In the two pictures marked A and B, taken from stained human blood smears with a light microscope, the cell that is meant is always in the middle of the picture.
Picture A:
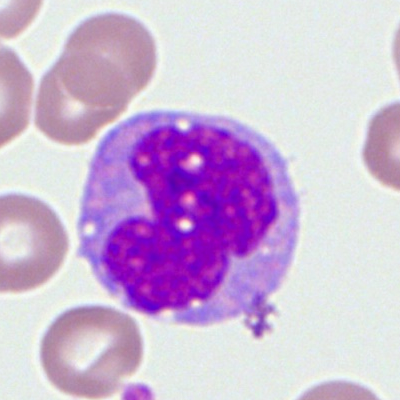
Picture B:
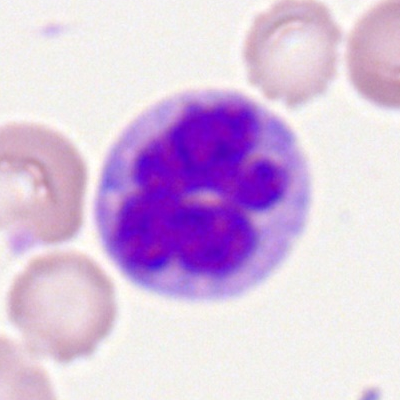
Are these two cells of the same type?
yes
